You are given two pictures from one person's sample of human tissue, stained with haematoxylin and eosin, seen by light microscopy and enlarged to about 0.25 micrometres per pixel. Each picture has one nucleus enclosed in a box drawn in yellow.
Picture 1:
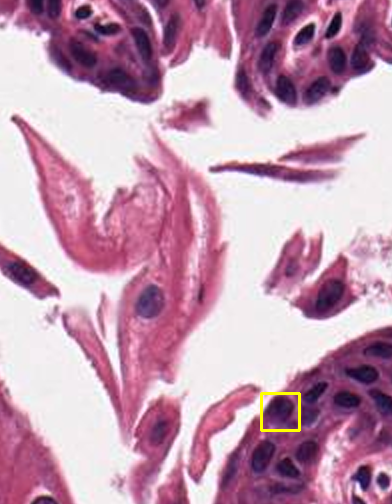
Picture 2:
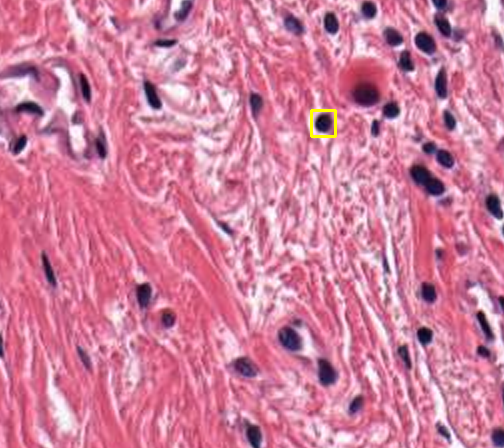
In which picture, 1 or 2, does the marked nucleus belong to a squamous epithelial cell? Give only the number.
1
